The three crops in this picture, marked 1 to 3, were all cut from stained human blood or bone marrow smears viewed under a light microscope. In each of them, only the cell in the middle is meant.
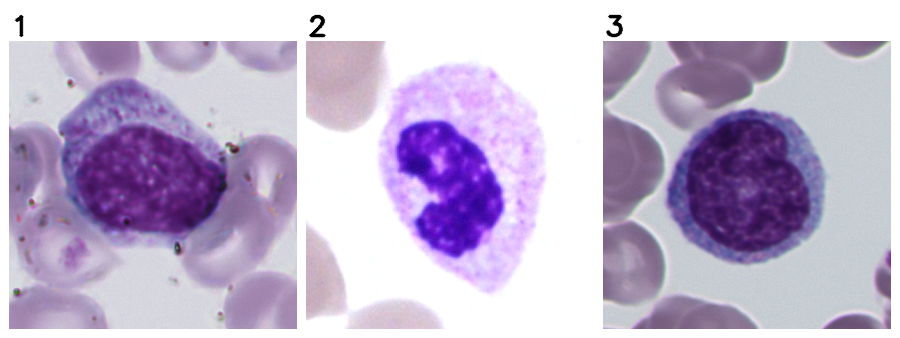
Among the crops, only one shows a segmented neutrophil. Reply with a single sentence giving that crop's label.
Crop 2 is the crop in which a segmented neutrophil is shown.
